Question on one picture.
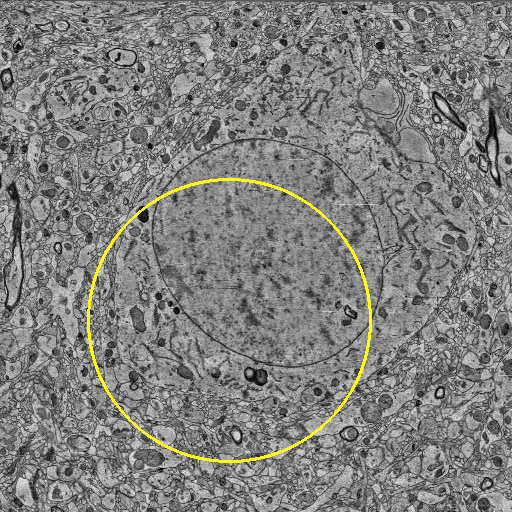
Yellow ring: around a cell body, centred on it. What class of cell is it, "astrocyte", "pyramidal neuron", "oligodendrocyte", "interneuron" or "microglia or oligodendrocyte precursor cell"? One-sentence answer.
This is a pyramidal neuron, the cell the ring is centred on.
